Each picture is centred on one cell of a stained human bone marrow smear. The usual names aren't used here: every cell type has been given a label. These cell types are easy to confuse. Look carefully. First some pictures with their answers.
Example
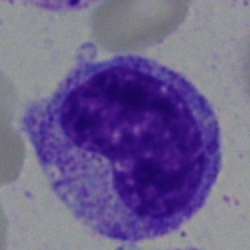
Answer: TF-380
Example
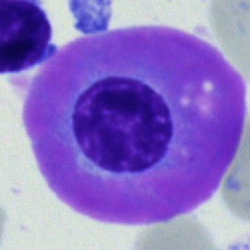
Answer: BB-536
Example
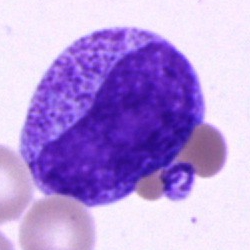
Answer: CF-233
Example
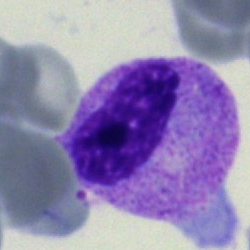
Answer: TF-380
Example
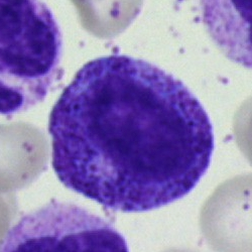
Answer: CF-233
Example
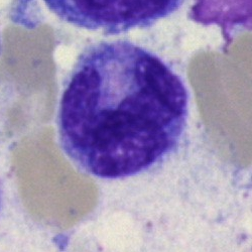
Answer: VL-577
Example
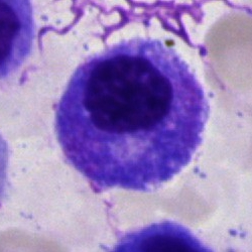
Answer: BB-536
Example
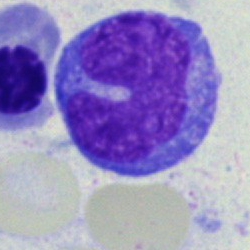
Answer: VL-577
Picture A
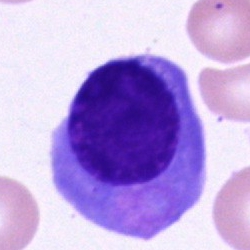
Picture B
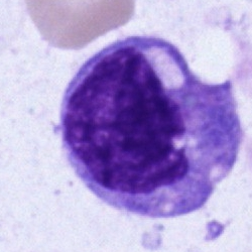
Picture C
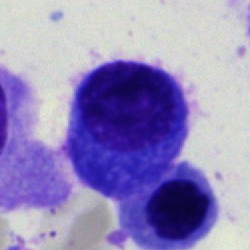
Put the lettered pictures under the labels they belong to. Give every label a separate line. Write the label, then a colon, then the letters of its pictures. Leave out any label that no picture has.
BB-536: A, C
VL-577: B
